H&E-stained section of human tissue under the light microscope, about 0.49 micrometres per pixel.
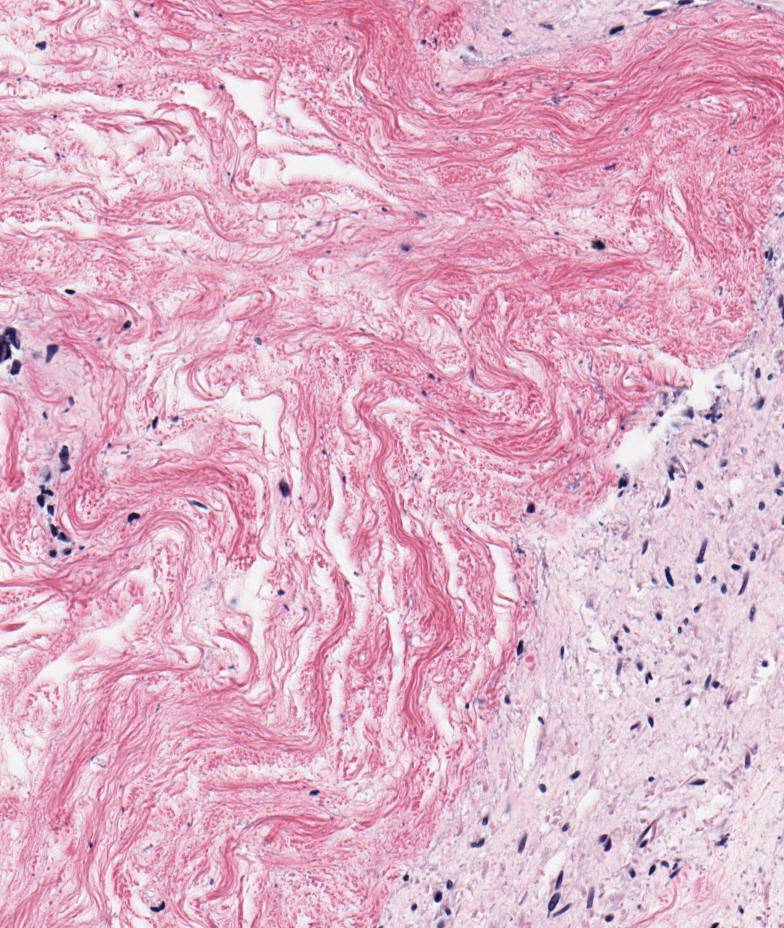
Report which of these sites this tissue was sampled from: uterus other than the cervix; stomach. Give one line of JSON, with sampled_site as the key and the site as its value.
{"sampled_site": "stomach"}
